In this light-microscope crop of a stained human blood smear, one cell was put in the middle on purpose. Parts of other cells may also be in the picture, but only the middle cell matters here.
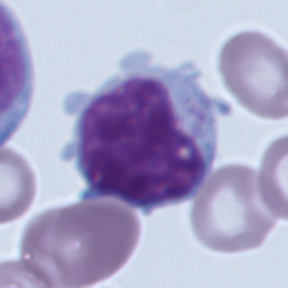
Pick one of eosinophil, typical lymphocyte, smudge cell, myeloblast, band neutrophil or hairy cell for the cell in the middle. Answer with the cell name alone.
myeloblast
